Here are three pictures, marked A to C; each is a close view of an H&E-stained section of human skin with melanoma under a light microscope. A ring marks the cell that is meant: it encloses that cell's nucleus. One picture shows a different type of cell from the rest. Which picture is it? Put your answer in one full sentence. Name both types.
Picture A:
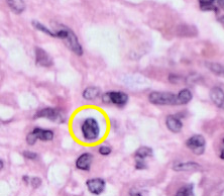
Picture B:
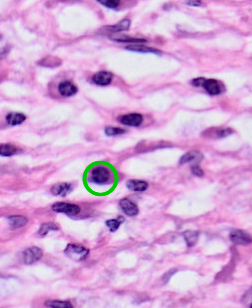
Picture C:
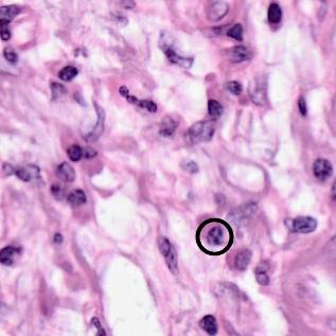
The different one is picture A; it shows a lymphocyte, whereas all the others show plasma cells.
